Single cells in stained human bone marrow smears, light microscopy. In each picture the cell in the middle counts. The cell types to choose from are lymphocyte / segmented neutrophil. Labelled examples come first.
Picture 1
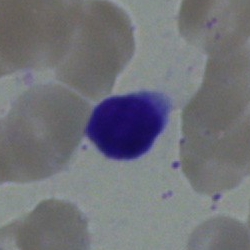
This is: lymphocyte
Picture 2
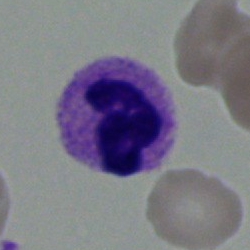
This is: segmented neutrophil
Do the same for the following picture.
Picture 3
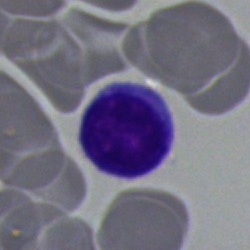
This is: lymphocyte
